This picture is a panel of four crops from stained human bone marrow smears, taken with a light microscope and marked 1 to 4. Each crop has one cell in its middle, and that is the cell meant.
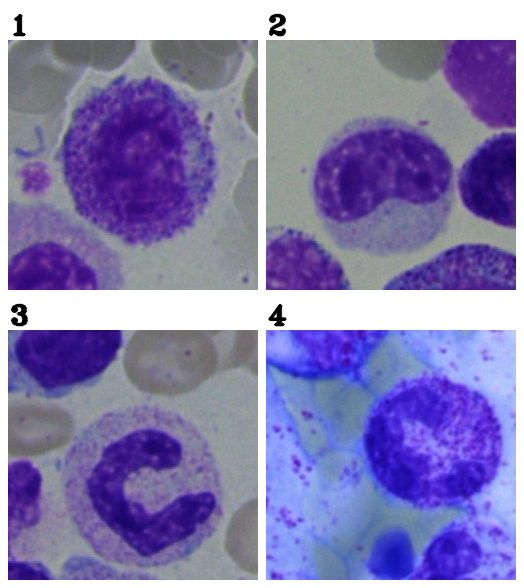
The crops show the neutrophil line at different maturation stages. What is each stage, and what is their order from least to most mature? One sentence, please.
In sequence of increasing maturity, the order is crop 1 (a myelocyte), crop 2 (a metamyelocyte), crop 3 (a band neutrophil) and crop 4 (a segmented neutrophil).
